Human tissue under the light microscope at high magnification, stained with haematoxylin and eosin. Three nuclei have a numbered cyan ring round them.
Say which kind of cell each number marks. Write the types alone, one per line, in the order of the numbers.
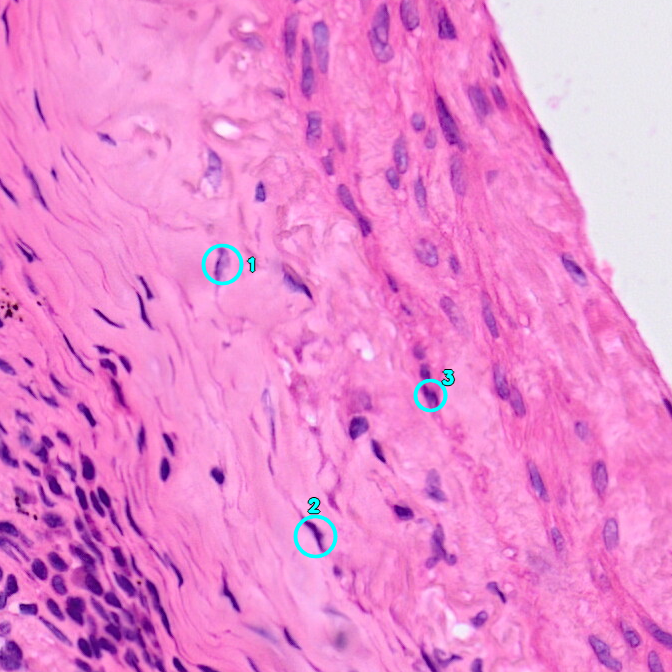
fibroblast
fibroblast
smooth muscle cell or pericyte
